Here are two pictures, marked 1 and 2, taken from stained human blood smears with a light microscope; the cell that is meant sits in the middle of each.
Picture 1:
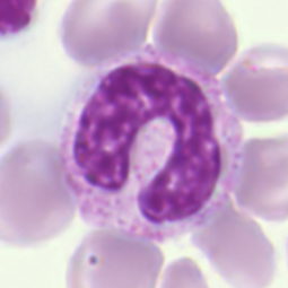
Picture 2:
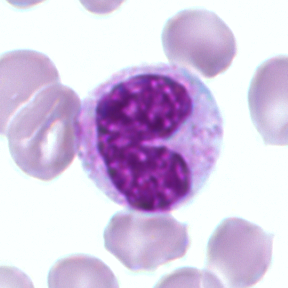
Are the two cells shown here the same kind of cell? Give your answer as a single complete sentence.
Yes; the cells in both pictures are band neutrophils.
